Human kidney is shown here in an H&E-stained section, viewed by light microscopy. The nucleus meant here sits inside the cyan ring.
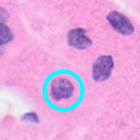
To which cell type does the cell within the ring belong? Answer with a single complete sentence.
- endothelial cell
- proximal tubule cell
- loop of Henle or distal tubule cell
The cell type represented by the cell within the ring is that of a proximal tubule cell.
